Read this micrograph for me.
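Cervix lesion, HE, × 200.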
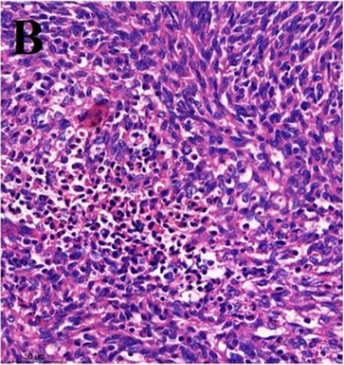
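This is a densely cellular tumour made of neoplastic spindle cells. Their nuclei are elongated and dark purple, and the cells run in streaming bundles in some parts and lie haphazardly in others. Between the tumour cells are many small round cells with dark round nuclei, a lymphocytic infiltration that is densest toward the left of the field. The cytoplasm is scant and pale pink, so the field looks crowded with nuclei.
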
